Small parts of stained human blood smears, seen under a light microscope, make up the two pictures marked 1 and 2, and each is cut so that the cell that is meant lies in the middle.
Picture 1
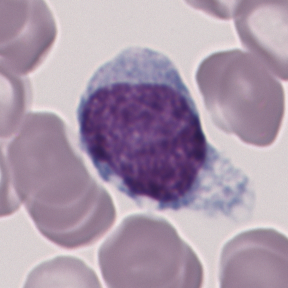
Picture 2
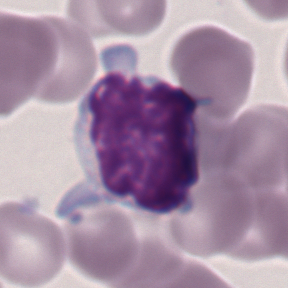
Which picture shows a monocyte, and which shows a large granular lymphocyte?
1: monocyte
2: large granular lymphocyte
